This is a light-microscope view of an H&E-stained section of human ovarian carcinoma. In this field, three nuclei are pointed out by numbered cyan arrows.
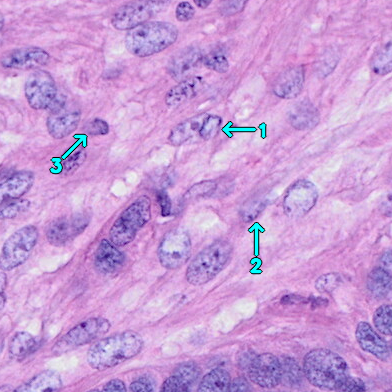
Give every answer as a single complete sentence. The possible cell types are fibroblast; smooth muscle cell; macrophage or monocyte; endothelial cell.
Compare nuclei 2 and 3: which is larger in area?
Of the two, number 2 is bigger and takes up about 2 times the area of number 3.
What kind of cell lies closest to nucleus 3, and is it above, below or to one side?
A fibroblast lies closest, to the left of nucleus 3.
